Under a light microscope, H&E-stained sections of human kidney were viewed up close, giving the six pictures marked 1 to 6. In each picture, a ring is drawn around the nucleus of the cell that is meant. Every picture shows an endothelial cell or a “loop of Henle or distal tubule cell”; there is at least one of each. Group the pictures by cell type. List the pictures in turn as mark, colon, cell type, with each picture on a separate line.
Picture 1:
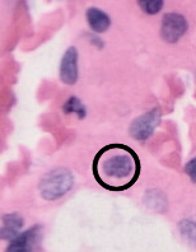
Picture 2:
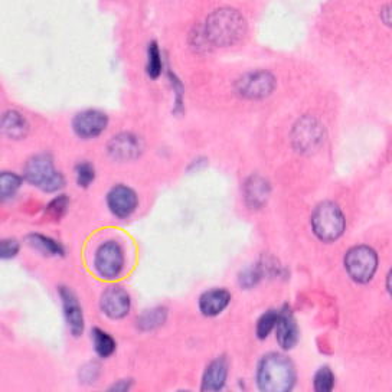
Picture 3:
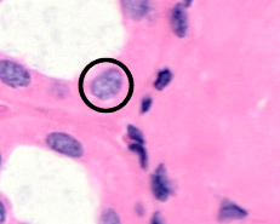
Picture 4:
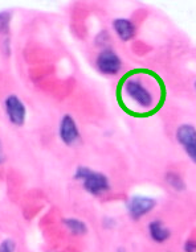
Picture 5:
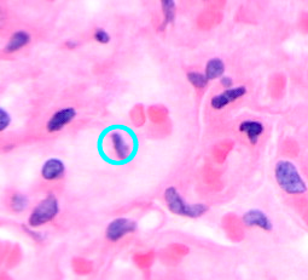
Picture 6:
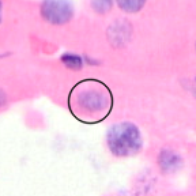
1: loop of Henle or distal tubule cell
2: loop of Henle or distal tubule cell
3: loop of Henle or distal tubule cell
4: endothelial cell
5: endothelial cell
6: loop of Henle or distal tubule cell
